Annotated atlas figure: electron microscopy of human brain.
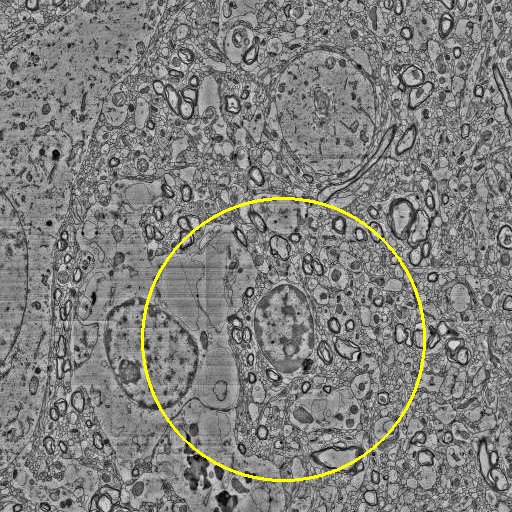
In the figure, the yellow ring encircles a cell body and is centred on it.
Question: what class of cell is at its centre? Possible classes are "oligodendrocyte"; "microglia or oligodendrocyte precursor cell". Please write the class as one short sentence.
The yellow ring is drawn around a microglial cell or oligodendrocyte precursor cell.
